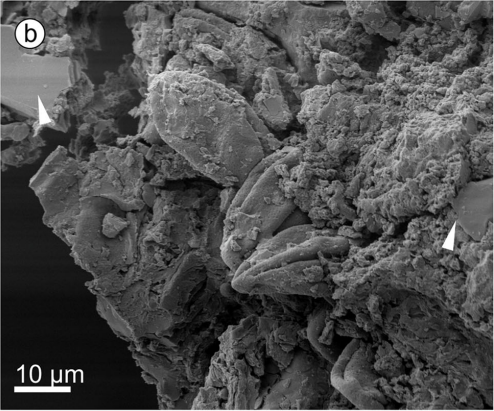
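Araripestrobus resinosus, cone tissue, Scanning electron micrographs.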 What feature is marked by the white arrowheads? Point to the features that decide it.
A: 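Amber. The arrowheads point to smooth, glassy, featureless surfaces. These smooth areas contrast with the rough granular matrix around the grains.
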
